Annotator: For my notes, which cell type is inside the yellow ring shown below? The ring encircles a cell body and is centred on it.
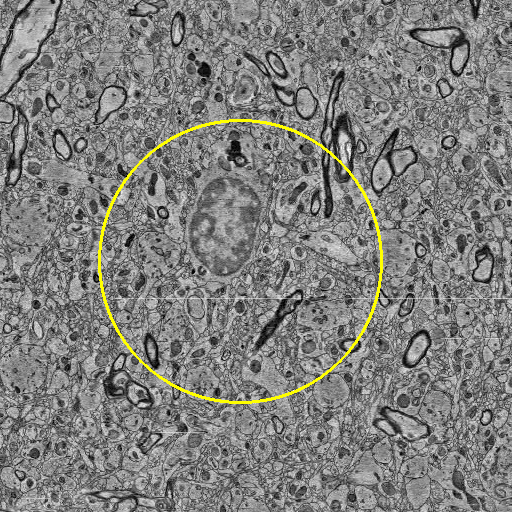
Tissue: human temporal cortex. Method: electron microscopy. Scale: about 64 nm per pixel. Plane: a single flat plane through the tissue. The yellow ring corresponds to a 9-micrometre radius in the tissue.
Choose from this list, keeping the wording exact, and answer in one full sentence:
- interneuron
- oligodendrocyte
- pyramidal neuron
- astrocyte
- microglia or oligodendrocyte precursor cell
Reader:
At the centre of the yellow ring there is an oligodendrocyte, as shown in the picture.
